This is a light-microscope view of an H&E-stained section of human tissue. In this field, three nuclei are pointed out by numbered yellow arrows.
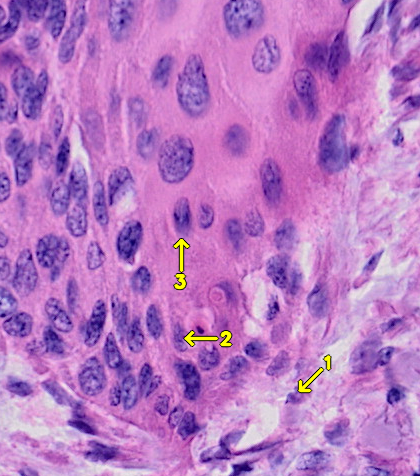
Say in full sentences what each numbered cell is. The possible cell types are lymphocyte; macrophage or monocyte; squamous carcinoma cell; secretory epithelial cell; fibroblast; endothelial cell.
Cell 1 is a fibroblast. Cells 2 and 3 are squamous carcinoma cells.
